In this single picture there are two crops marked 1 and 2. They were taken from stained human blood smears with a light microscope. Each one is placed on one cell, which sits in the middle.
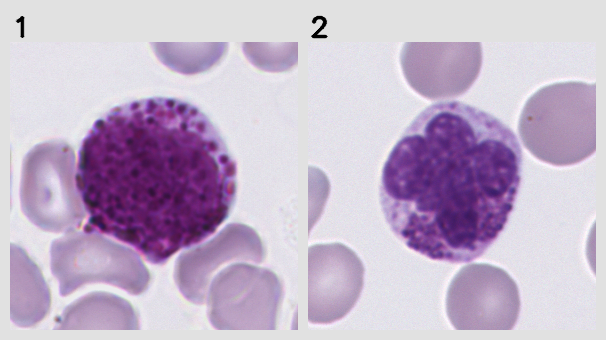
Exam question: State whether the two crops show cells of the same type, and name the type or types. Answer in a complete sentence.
Yes, the cells at the centre of the two crops are both basophils.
